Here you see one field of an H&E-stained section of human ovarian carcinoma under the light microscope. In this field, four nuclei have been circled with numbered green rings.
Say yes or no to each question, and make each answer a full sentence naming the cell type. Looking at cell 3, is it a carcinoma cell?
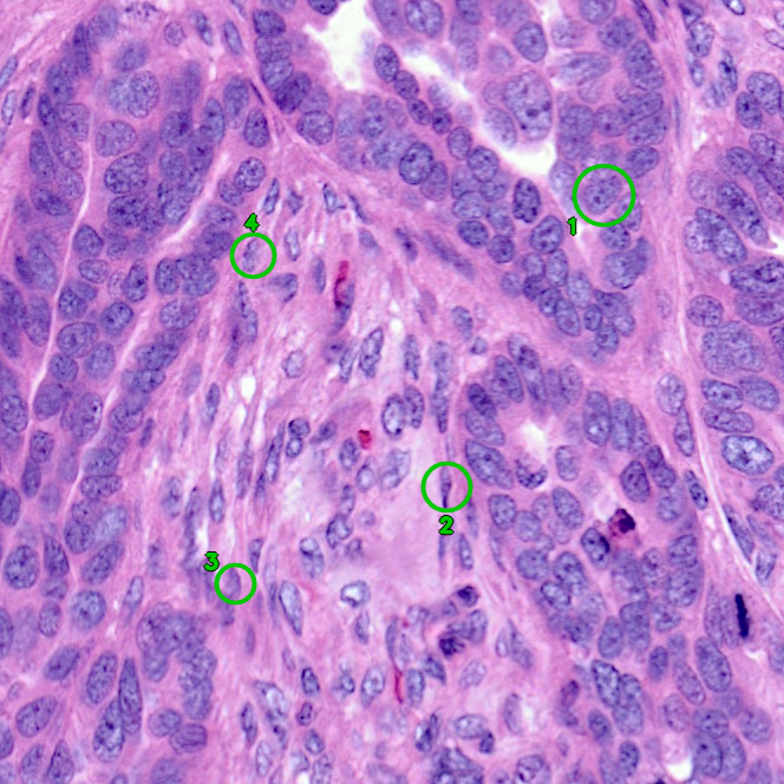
No, cell 3 is not a carcinoma cell, but is instead a fibroblast.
